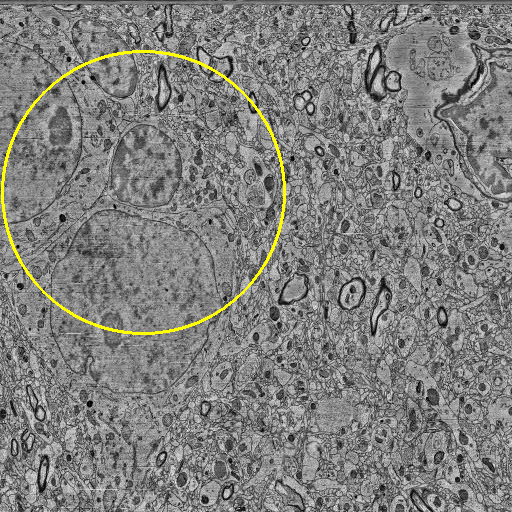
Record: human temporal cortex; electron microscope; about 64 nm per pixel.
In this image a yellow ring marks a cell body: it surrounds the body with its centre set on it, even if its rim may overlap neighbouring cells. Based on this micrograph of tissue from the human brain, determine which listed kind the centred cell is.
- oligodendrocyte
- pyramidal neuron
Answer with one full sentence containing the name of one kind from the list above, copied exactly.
It is an oligodendrocyte whose body the yellow ring encloses at its centre.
